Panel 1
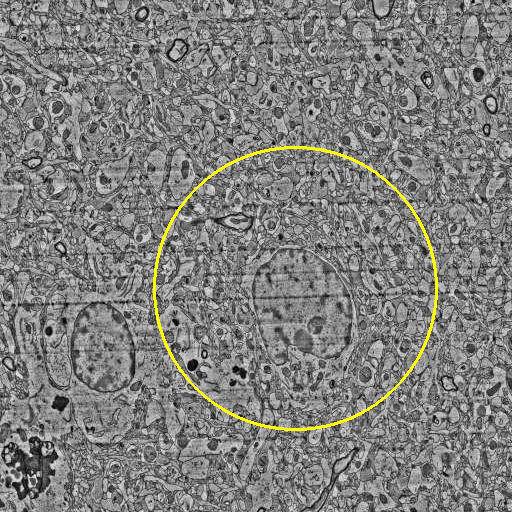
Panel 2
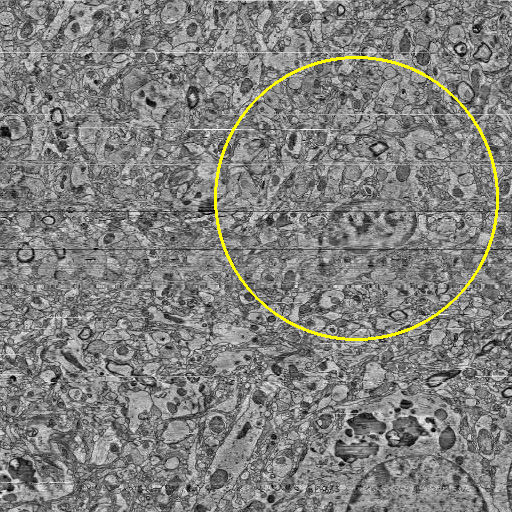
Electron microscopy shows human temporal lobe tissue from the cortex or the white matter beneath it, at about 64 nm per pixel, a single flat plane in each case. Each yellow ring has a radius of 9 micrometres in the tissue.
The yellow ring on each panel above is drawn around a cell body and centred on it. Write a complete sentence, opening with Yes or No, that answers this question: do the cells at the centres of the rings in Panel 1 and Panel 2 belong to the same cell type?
Yes, both cells belong to the same cell type.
